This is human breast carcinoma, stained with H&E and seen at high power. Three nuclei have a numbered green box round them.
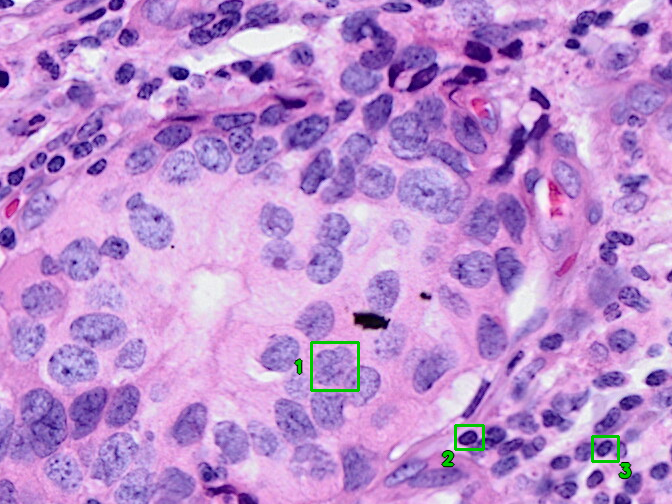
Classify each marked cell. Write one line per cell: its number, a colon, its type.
1: carcinoma cell
2: lymphocyte
3: lymphocyte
